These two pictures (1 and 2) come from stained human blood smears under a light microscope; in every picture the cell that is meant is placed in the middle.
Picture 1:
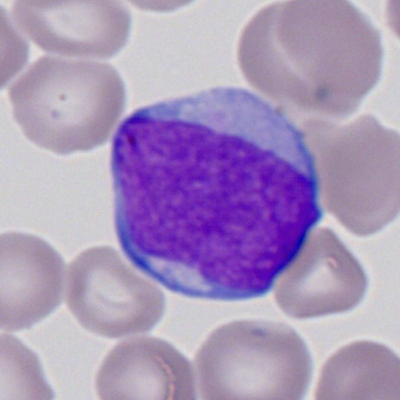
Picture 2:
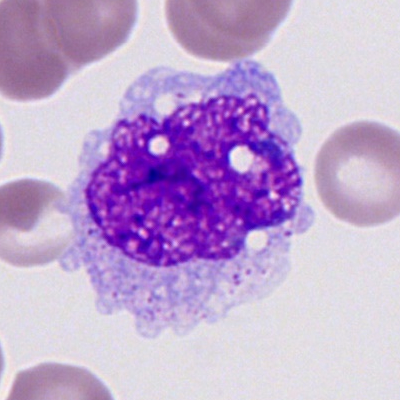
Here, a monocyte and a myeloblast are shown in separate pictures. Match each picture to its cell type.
1: myeloblast
2: monocyte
